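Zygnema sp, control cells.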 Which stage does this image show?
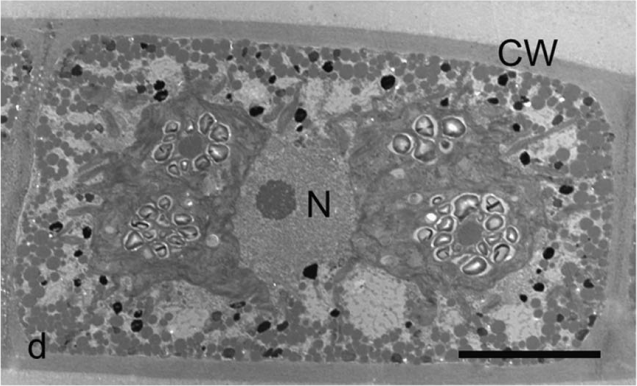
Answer: pre-akinetes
